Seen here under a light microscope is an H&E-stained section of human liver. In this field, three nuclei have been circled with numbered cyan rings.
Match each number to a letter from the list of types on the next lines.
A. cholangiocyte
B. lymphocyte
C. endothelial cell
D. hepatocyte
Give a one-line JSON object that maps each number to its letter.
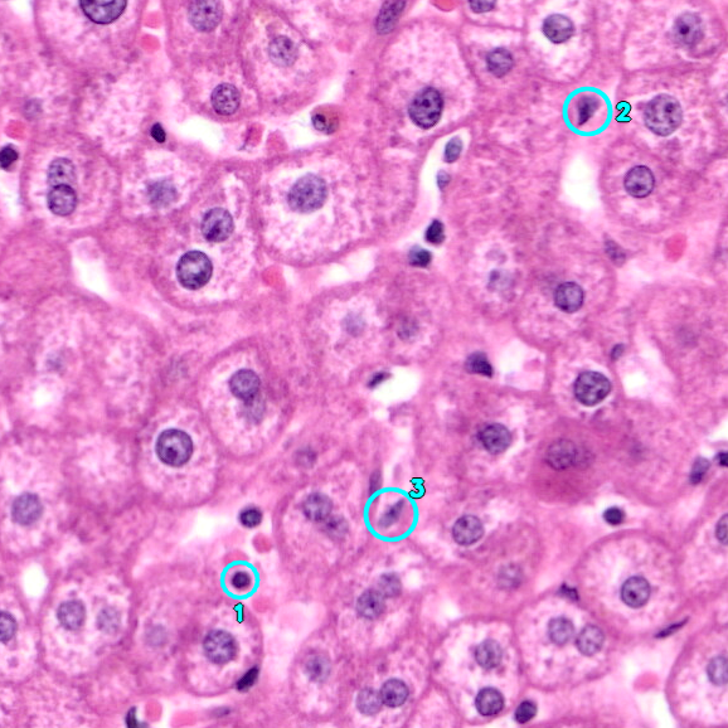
{"1": "B", "2": "C", "3": "C"}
